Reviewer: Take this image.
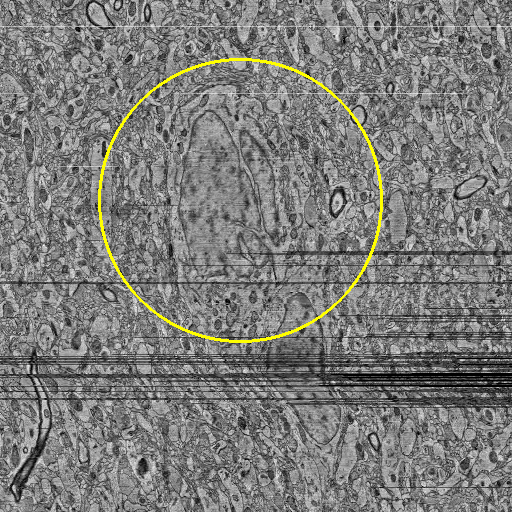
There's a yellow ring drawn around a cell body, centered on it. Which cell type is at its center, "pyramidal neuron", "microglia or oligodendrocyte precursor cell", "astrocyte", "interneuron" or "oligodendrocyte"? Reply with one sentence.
At the center of the yellow ring is an interneuron.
